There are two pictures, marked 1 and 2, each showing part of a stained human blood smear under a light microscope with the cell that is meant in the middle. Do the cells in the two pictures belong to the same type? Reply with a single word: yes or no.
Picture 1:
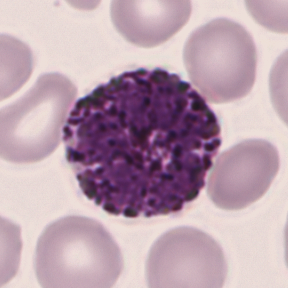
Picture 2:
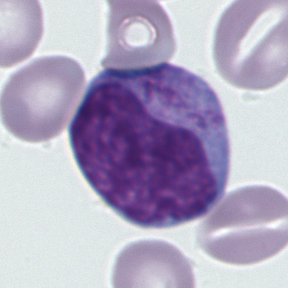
no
